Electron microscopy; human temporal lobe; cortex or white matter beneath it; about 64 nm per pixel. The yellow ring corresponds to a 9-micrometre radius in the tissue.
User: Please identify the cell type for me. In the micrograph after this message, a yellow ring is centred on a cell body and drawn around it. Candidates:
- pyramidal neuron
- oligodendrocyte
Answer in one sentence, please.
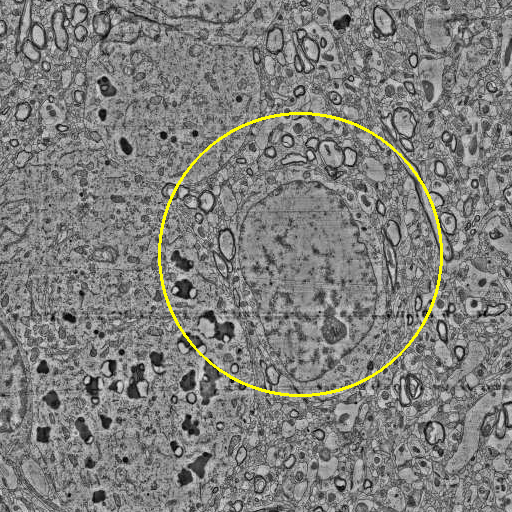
The ring is drawn around the cell body of a pyramidal neuron.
